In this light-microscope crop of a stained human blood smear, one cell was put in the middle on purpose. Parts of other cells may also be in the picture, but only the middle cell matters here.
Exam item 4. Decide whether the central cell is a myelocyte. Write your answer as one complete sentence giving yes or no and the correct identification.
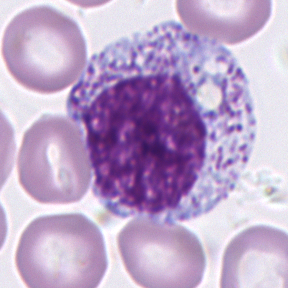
No, at the centre of this crop is found a promyelocyte instead of a myelocyte.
